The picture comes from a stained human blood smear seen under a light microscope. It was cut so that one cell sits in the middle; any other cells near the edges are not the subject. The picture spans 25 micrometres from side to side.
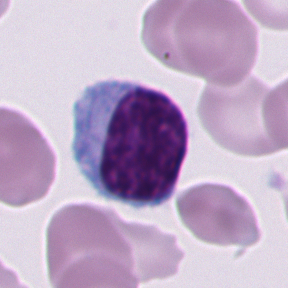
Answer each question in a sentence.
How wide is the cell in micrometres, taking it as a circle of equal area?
The diameter of the cell comes to about 11 micrometres.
